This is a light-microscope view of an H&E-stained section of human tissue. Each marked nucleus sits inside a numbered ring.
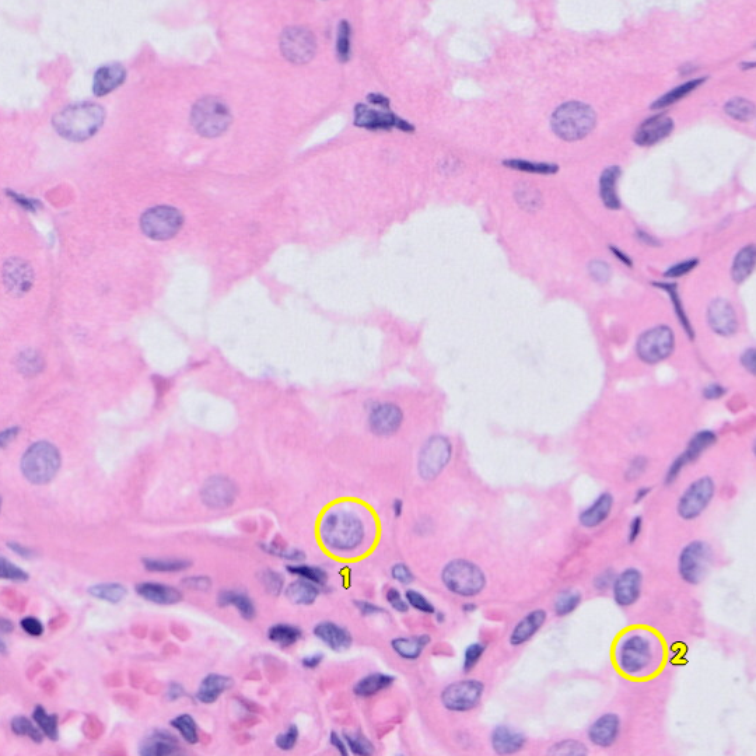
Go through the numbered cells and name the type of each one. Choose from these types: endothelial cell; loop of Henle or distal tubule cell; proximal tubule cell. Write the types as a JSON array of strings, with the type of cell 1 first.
["proximal tubule cell", "loop of Henle or distal tubule cell"]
